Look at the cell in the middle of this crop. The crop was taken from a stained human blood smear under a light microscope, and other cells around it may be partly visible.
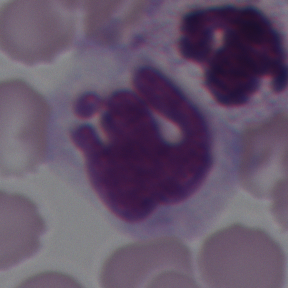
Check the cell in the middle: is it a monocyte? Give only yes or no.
yes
